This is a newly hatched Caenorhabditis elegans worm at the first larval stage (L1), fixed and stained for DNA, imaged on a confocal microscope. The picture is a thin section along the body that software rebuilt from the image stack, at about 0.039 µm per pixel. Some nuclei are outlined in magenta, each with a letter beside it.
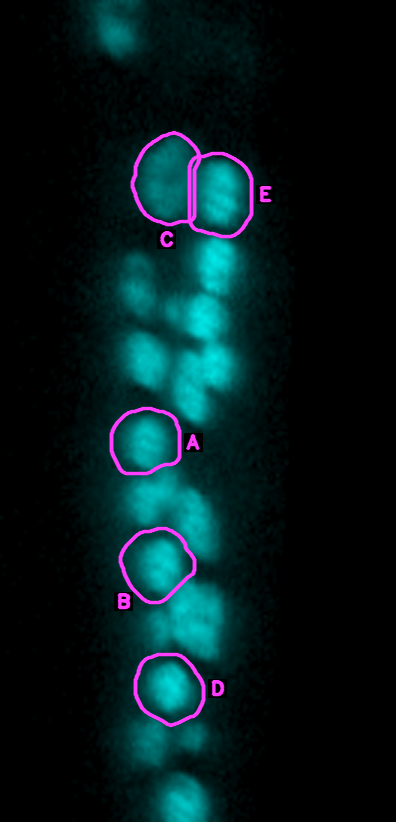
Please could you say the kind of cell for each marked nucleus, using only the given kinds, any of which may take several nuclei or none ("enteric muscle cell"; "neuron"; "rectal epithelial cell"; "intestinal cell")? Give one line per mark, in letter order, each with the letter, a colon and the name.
A: neuron
B: neuron
C: intestinal cell
D: neuron
E: enteric muscle cell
